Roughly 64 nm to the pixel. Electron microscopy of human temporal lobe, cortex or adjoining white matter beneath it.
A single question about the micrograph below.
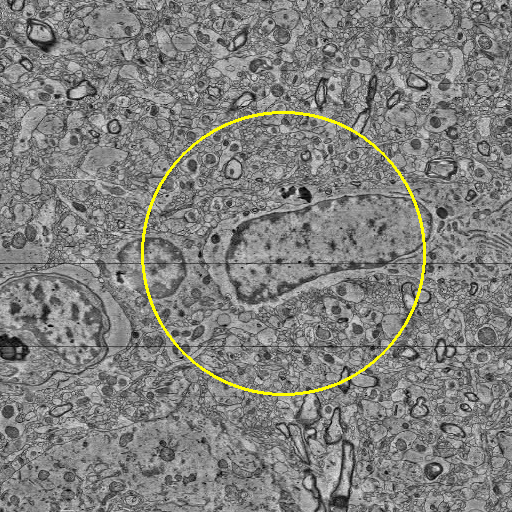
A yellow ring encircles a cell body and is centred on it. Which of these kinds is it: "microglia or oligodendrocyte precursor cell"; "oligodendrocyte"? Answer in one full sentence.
The cell body at the centre of the yellow ring belongs to a microglial cell or oligodendrocyte precursor cell.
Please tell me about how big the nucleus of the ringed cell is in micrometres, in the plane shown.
About 7 by 6 micrometers for the nucleus, in this plane.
